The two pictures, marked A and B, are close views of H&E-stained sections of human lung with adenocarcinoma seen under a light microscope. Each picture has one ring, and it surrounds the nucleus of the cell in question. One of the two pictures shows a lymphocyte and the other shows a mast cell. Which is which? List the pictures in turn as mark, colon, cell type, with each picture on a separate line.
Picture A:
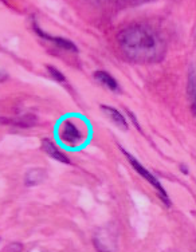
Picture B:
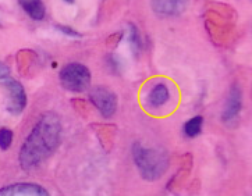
A: lymphocyte
B: mast cell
